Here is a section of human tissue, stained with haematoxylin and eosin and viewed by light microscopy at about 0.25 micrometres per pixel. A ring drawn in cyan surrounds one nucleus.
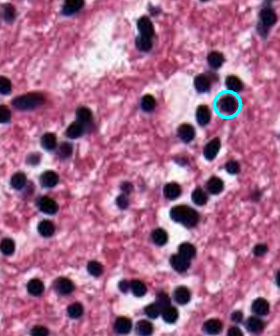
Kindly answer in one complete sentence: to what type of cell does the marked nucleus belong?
It is a cerebellar granule cell whose nucleus is marked.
